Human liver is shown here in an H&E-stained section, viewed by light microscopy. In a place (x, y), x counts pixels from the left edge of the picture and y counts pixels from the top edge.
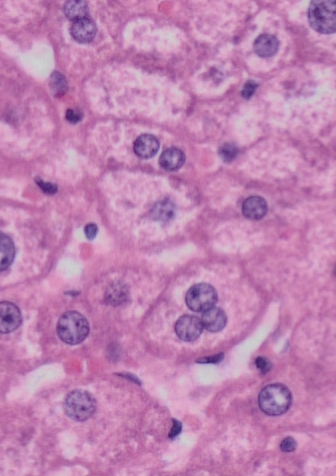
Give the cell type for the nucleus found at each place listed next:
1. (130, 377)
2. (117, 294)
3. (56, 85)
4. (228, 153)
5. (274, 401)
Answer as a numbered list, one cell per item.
1. endothelial cell
2. hepatocyte
3. endothelial cell
4. endothelial cell
5. hepatocyte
